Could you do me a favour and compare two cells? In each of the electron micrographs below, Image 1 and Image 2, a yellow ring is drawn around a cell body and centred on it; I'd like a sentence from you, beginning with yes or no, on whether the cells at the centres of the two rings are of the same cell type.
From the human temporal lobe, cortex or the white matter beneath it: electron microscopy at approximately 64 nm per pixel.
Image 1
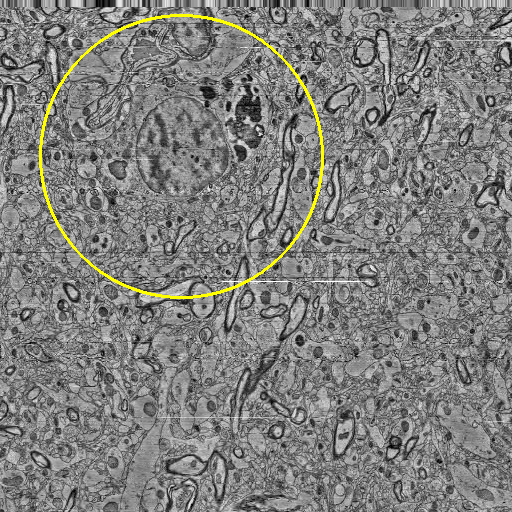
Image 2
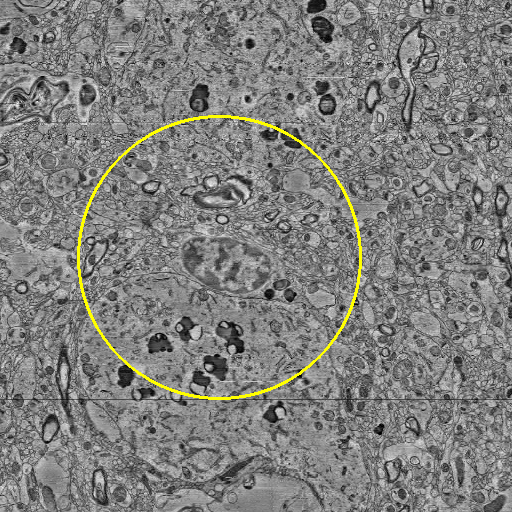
No, the two cells are of two cell types.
